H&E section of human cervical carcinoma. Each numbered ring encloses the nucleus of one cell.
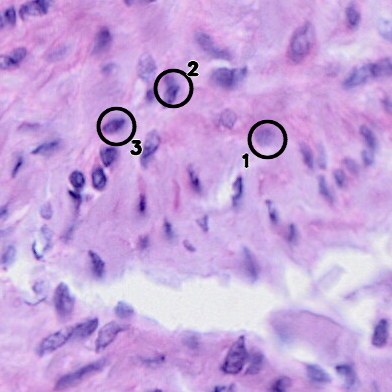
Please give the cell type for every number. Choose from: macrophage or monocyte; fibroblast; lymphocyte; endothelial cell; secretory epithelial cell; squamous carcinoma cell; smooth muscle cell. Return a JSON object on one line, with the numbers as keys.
{"1": "smooth muscle cell", "2": "fibroblast", "3": "fibroblast"}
